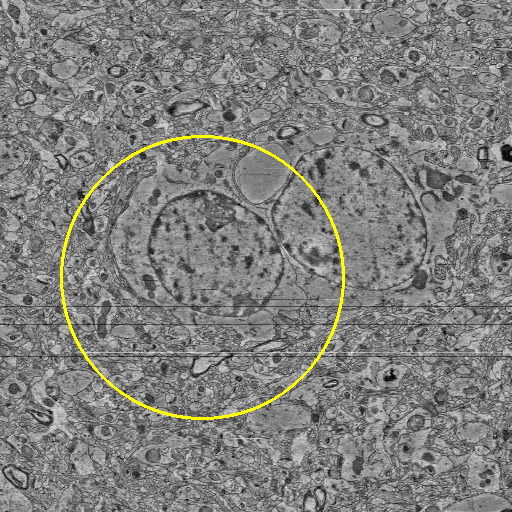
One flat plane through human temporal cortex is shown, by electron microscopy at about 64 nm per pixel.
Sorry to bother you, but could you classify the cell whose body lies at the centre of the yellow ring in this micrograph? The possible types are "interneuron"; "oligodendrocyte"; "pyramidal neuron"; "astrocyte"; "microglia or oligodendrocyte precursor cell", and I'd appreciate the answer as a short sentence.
The ringed cell body is that of an astrocyte.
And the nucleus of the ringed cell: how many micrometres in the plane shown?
The ringed cell's nucleus is about 9 micrometres long and 8 micrometres wide in this plane.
